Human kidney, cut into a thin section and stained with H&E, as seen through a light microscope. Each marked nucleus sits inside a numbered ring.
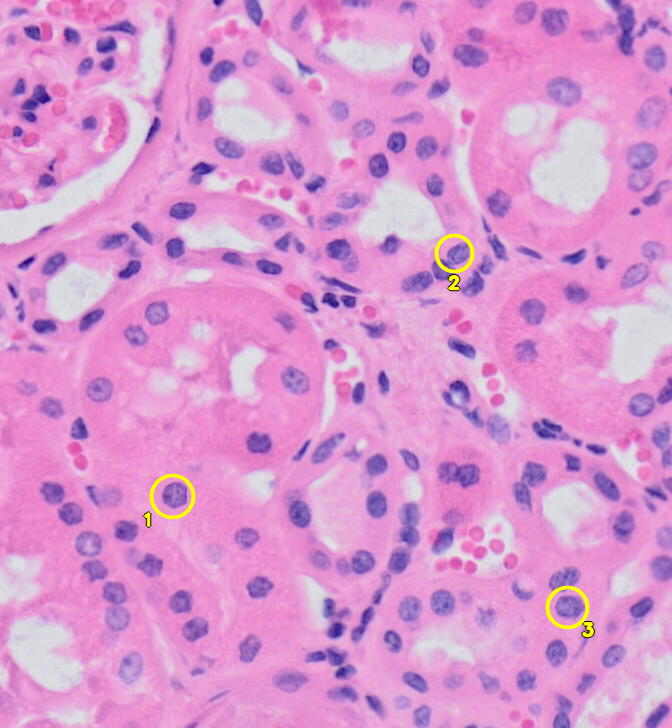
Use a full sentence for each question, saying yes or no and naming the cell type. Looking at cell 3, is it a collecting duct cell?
Yes, the cell that is numbered 3 is a collecting duct cell.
